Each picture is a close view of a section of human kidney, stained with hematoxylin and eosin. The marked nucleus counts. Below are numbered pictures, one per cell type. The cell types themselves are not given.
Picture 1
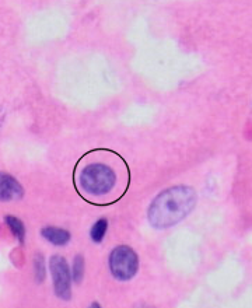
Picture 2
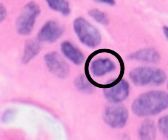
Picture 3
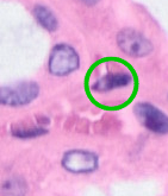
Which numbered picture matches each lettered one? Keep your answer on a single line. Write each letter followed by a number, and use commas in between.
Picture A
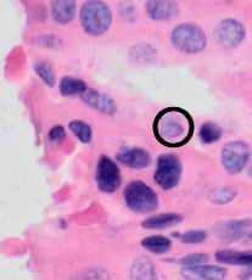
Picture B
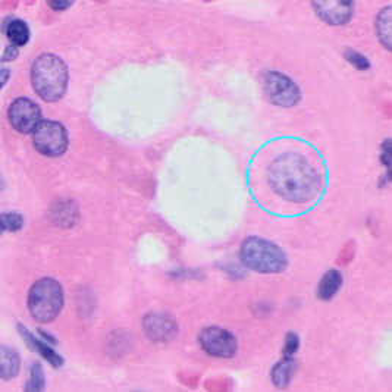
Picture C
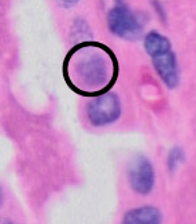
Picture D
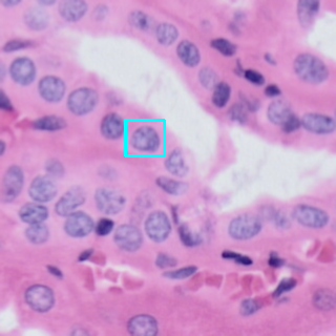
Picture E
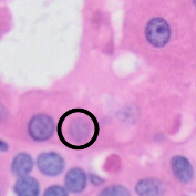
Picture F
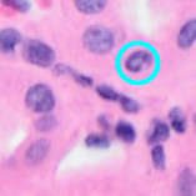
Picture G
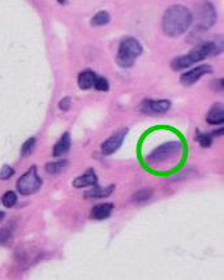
A 2, B 1, C 2, D 2, E 1, F 2, G 3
